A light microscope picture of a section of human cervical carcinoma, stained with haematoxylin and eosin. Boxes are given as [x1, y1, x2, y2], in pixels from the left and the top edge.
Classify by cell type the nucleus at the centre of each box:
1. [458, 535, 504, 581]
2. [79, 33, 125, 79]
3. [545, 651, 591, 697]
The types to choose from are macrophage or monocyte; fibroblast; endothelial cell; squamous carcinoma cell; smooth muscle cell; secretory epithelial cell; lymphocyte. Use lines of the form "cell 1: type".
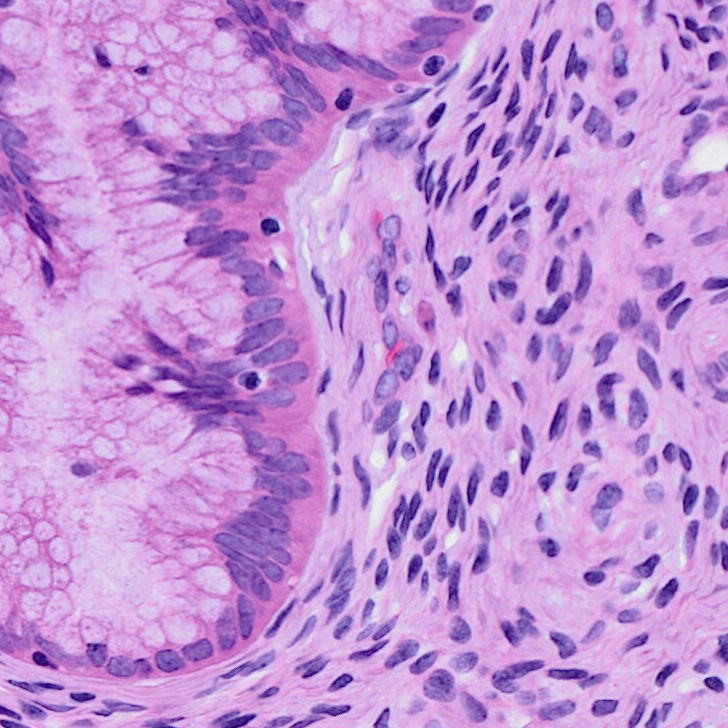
cell 1: fibroblast
cell 2: secretory epithelial cell
cell 3: fibroblast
